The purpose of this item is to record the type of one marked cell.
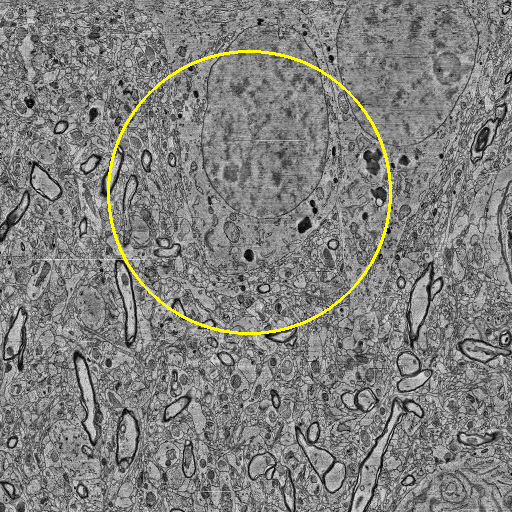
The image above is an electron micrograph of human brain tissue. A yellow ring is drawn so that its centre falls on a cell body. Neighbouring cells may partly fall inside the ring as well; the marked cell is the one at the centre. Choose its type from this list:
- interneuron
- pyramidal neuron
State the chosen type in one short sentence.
What the ring marks here is a pyramidal neuron.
